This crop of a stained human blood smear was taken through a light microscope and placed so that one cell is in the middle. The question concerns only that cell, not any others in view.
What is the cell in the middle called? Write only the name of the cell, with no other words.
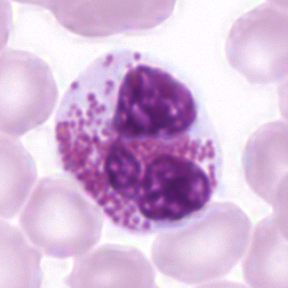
eosinophil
